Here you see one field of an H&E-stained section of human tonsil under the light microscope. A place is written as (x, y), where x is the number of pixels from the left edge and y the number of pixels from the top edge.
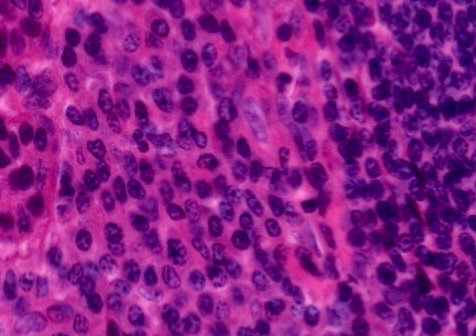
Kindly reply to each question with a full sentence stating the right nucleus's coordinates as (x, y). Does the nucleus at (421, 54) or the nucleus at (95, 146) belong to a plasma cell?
Of the pair, the nucleus positioned at (95, 146) is that of a plasma cell.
